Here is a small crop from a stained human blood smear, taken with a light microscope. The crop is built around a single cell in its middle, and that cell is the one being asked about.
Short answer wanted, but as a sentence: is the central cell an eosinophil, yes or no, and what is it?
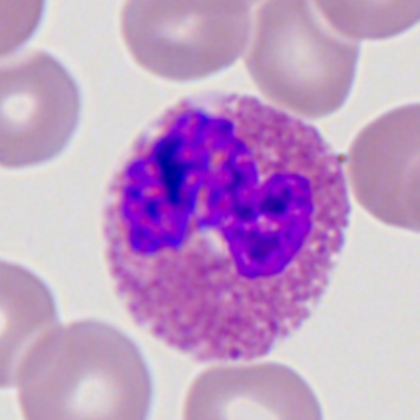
Yes, the cell lying in the middle is an eosinophil.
